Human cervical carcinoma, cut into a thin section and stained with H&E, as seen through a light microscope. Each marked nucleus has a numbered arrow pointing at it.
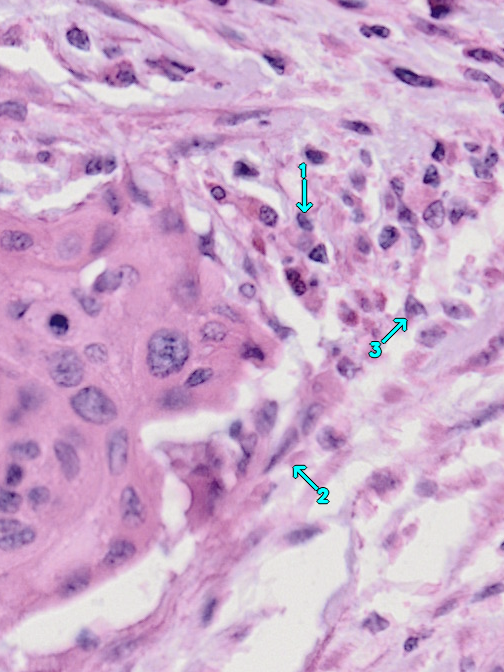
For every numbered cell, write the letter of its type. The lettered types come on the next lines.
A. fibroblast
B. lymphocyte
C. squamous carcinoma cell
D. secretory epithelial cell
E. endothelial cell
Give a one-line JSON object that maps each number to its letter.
{"1": "B", "2": "A", "3": "A"}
